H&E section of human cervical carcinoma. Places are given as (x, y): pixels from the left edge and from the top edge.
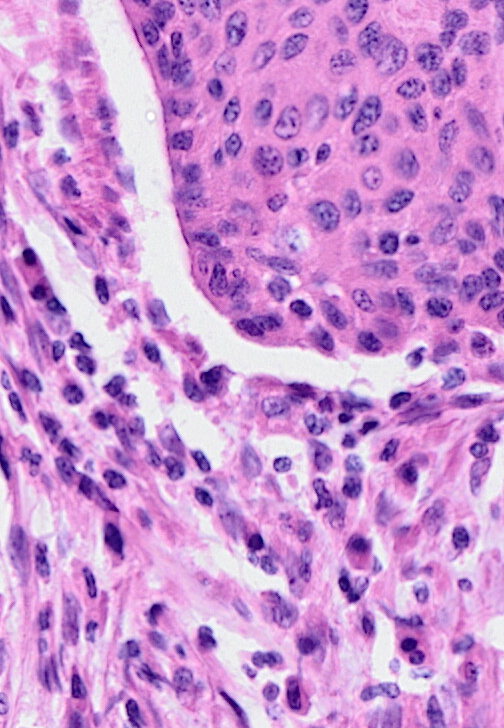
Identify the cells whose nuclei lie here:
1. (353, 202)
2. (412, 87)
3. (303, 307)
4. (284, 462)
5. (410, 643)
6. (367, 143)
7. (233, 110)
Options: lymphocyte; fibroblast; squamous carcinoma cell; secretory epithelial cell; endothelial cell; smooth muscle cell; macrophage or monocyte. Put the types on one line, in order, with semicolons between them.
squamous carcinoma cell; squamous carcinoma cell; lymphocyte; lymphocyte; lymphocyte; squamous carcinoma cell; squamous carcinoma cell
